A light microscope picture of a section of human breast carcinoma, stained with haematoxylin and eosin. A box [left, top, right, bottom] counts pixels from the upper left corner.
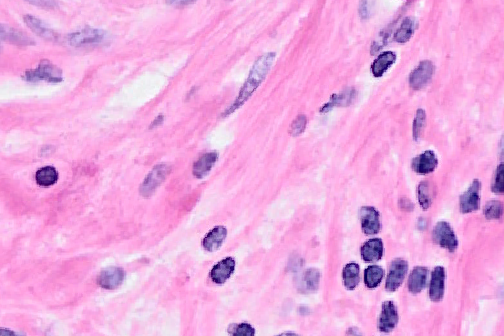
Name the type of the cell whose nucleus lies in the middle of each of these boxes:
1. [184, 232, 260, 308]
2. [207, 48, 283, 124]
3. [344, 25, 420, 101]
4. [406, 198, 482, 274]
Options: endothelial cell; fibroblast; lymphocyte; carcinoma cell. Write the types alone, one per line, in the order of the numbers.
lymphocyte
fibroblast
lymphocyte
lymphocyte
